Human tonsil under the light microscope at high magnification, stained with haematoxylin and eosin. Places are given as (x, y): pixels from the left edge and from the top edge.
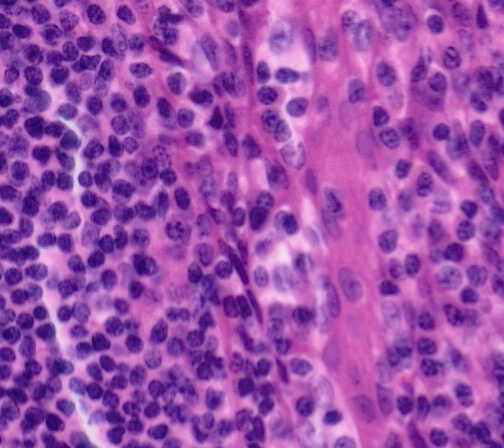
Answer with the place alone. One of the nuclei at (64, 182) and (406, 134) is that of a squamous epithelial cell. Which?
(406, 134)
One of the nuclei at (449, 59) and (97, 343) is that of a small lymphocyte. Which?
(97, 343)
